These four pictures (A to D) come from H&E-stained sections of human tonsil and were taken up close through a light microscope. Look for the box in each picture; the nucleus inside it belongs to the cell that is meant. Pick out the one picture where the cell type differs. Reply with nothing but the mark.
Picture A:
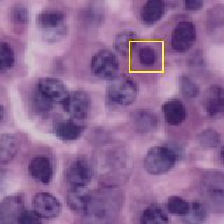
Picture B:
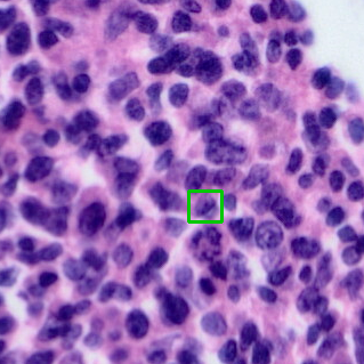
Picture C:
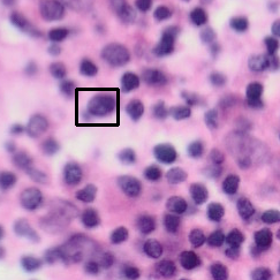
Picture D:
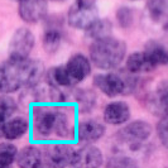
A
